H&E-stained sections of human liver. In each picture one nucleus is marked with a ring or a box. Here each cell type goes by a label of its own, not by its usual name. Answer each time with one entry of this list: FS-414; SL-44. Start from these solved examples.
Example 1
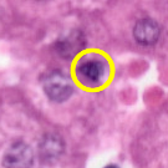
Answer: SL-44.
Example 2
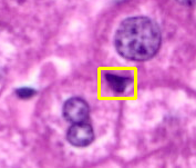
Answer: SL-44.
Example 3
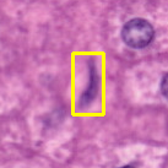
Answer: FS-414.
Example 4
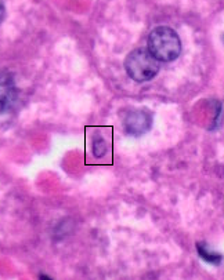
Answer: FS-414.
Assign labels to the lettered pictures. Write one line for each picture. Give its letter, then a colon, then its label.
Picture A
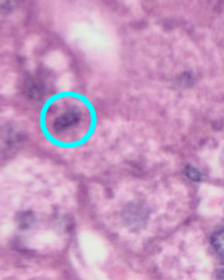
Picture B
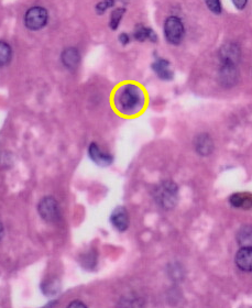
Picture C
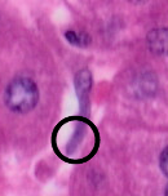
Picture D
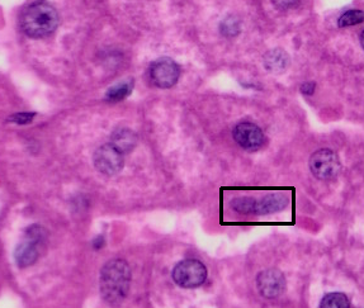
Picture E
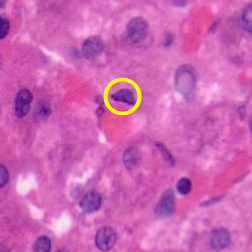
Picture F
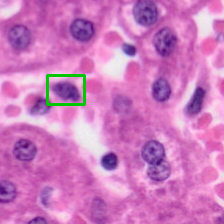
A: SL-44.
B: SL-44.
C: FS-414.
D: FS-414.
E: SL-44.
F: FS-414.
